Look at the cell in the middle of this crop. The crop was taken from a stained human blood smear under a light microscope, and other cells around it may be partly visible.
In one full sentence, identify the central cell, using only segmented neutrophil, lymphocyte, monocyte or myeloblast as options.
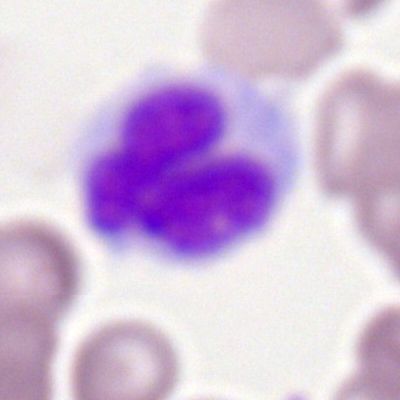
On this slide crop, the central cell is a monocyte.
